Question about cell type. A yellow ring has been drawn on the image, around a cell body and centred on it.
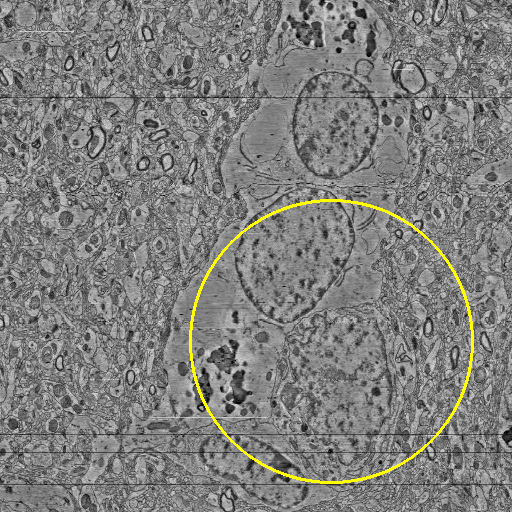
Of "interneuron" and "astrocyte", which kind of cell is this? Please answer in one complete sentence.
At the centre of the ring lies an interneuron.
